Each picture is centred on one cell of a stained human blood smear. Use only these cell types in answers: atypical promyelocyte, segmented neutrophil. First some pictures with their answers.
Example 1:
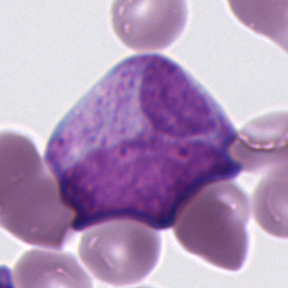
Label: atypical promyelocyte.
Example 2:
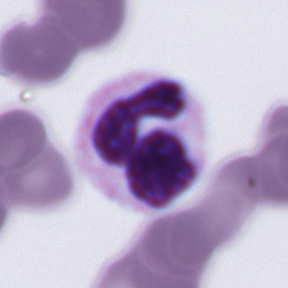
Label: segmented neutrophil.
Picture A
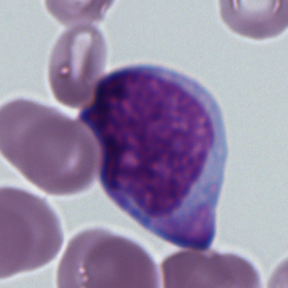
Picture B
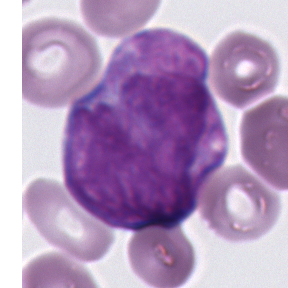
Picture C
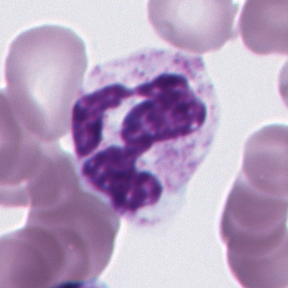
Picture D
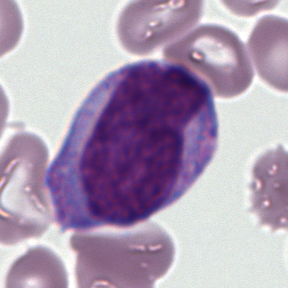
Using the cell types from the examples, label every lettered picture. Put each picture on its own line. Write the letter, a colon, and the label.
A: atypical promyelocyte.
B: atypical promyelocyte.
C: segmented neutrophil.
D: atypical promyelocyte.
